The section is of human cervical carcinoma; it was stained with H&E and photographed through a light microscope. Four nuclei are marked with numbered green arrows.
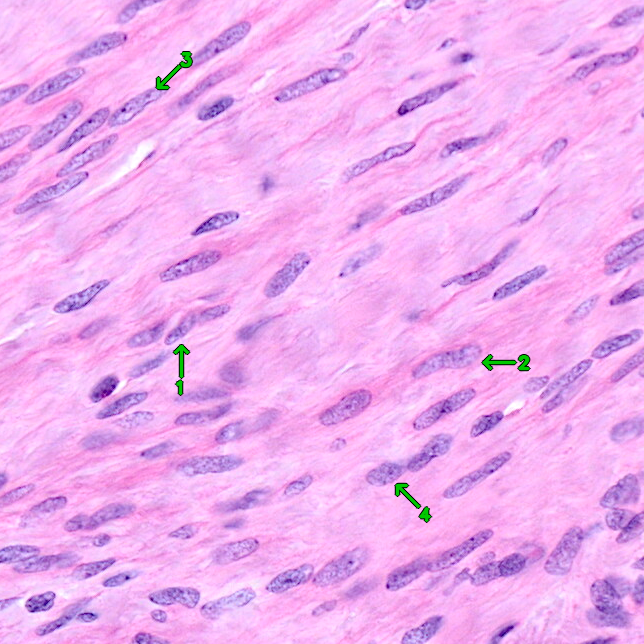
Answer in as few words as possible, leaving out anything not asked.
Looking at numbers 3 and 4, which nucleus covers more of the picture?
3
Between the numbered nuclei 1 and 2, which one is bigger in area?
2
